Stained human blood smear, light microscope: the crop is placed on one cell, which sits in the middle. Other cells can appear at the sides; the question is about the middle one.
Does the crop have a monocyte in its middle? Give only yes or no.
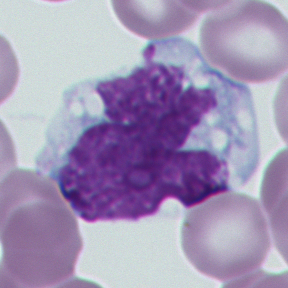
yes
